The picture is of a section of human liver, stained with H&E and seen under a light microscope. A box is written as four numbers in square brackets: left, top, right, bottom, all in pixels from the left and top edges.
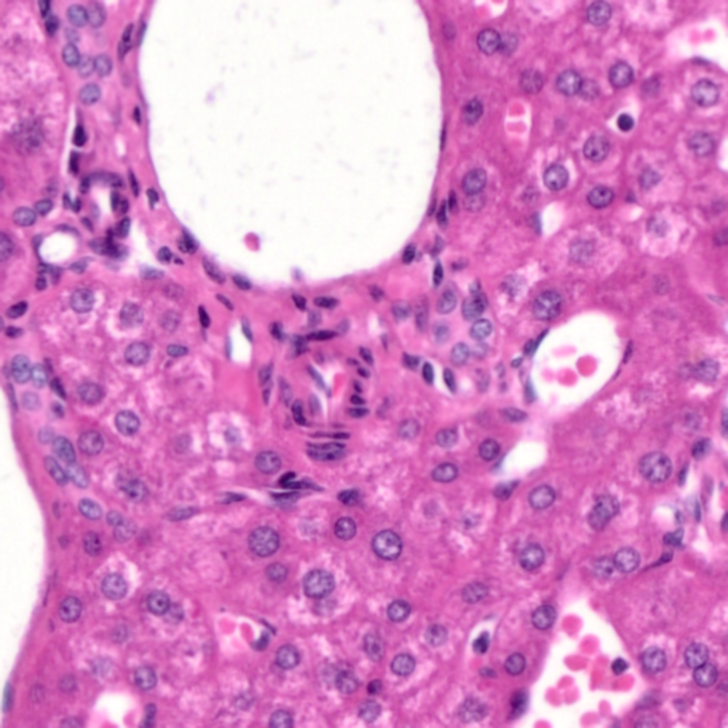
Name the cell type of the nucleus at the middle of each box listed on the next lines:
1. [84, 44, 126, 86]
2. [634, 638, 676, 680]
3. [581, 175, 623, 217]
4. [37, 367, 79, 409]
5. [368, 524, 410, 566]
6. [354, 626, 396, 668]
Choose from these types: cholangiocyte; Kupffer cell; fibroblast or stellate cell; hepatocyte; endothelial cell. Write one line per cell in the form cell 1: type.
cell 1: cholangiocyte
cell 2: hepatocyte
cell 3: hepatocyte
cell 4: fibroblast or stellate cell
cell 5: hepatocyte
cell 6: hepatocyte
